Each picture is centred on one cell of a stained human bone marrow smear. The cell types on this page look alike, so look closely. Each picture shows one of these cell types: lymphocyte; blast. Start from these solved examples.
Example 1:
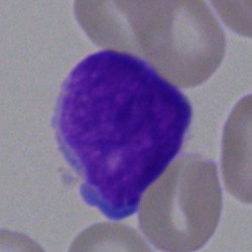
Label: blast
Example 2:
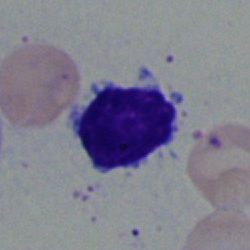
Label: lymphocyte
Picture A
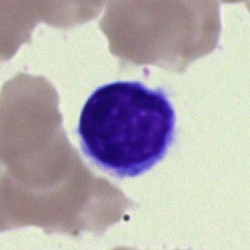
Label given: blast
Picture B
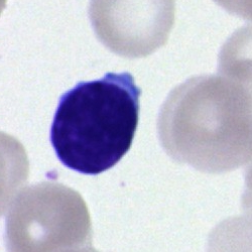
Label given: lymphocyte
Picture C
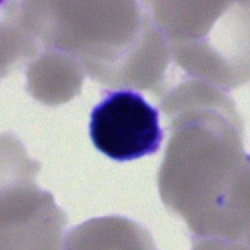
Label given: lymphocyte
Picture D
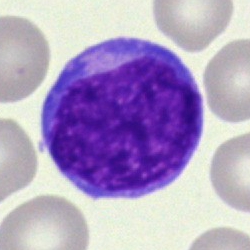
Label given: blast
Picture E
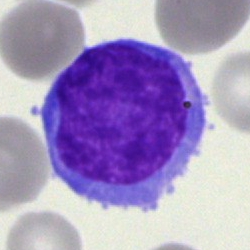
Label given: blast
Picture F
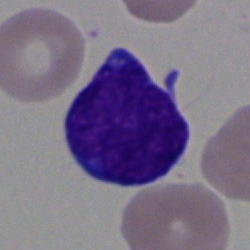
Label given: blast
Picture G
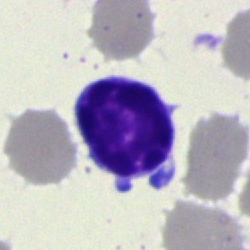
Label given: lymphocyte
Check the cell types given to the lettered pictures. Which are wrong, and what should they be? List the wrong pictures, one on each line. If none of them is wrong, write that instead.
A: lymphocyte, not blast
